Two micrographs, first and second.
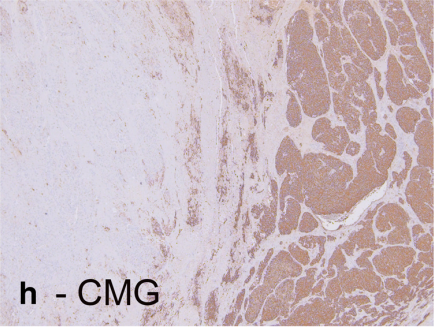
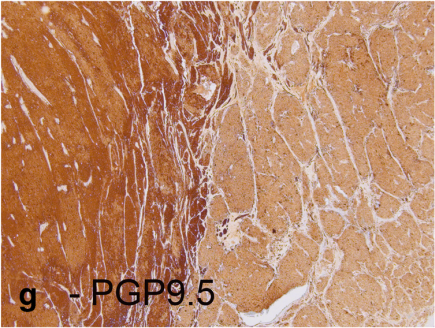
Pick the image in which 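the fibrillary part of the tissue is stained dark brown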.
the second image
